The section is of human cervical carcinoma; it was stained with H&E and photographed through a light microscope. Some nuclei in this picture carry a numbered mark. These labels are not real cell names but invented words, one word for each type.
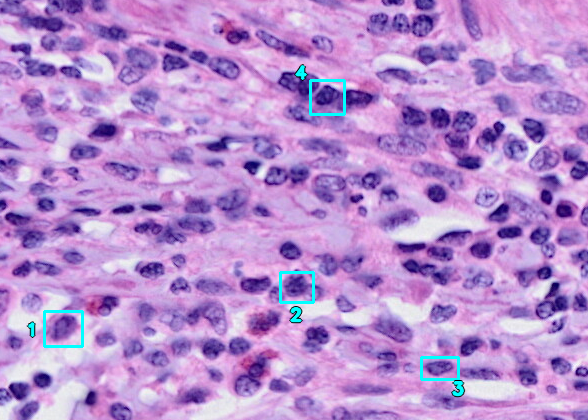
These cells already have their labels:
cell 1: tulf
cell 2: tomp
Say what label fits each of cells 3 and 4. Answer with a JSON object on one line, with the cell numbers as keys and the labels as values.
{"3": "tomp", "4": "tomp"}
